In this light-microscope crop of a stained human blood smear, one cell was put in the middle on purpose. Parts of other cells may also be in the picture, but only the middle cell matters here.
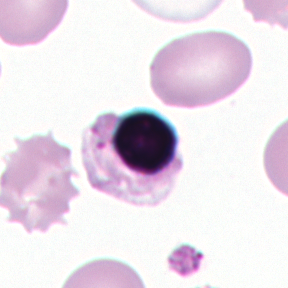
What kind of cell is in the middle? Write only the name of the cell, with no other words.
normoblast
